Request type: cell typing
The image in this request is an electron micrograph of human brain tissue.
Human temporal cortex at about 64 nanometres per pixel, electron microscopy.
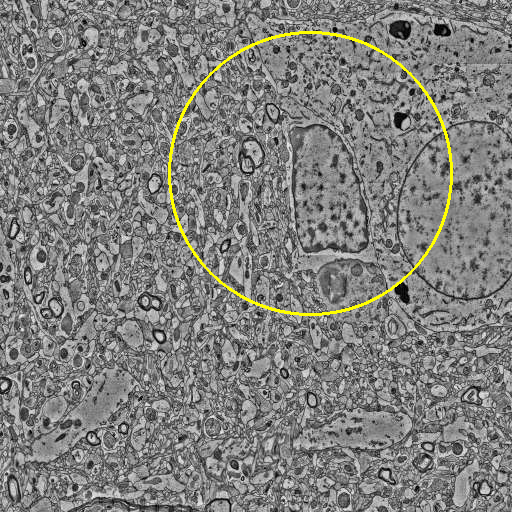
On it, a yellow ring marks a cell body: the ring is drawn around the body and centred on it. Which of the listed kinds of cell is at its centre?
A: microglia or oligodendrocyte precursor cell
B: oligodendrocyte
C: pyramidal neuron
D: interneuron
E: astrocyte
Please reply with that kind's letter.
A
